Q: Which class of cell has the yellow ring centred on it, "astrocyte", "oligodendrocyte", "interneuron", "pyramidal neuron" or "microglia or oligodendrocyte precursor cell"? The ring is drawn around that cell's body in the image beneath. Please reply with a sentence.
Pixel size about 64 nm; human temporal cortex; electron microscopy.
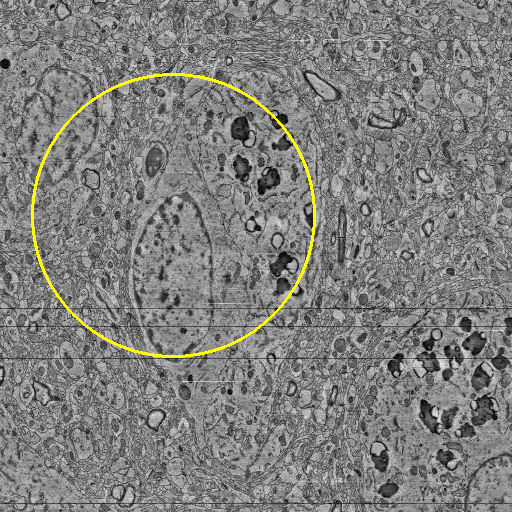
It is centred on a microglial cell or oligodendrocyte precursor cell.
